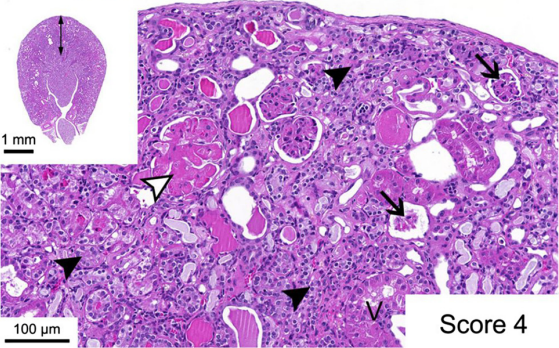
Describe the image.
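Kidney cortex with marked damage of tubules and glomeruli. Many tubules are dilated and filled with homogeneous deep pink material, while others are empty with flattened lining. Between them, regions of crowded tubular cells lack open lumina, consistent with tubular collapse. Several glomeruli show small, shrunken tufts lying in wide, empty capsular spaces. Nuclei are crowded in the interstitium, and the normal regular tubular pattern is lost.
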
